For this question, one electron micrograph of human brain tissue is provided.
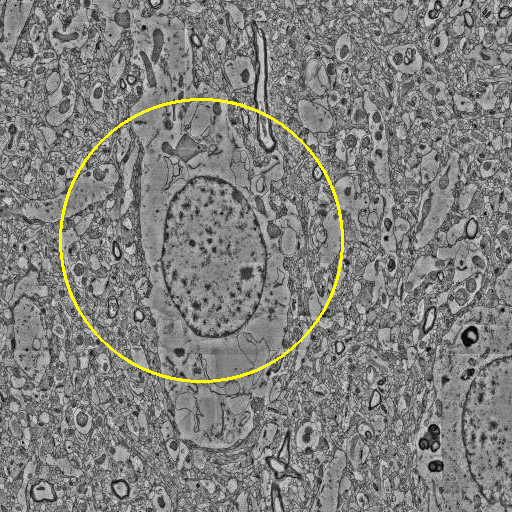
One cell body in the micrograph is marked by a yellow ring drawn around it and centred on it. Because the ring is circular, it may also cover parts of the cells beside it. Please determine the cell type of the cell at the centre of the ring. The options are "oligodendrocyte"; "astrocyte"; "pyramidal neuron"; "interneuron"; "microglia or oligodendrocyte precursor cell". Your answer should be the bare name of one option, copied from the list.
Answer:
astrocyte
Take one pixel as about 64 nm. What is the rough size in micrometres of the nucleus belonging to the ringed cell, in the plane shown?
Roughly 10 micrometres by 7 micrometres, so the nucleus is clearly longer than it is wide in this plane.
